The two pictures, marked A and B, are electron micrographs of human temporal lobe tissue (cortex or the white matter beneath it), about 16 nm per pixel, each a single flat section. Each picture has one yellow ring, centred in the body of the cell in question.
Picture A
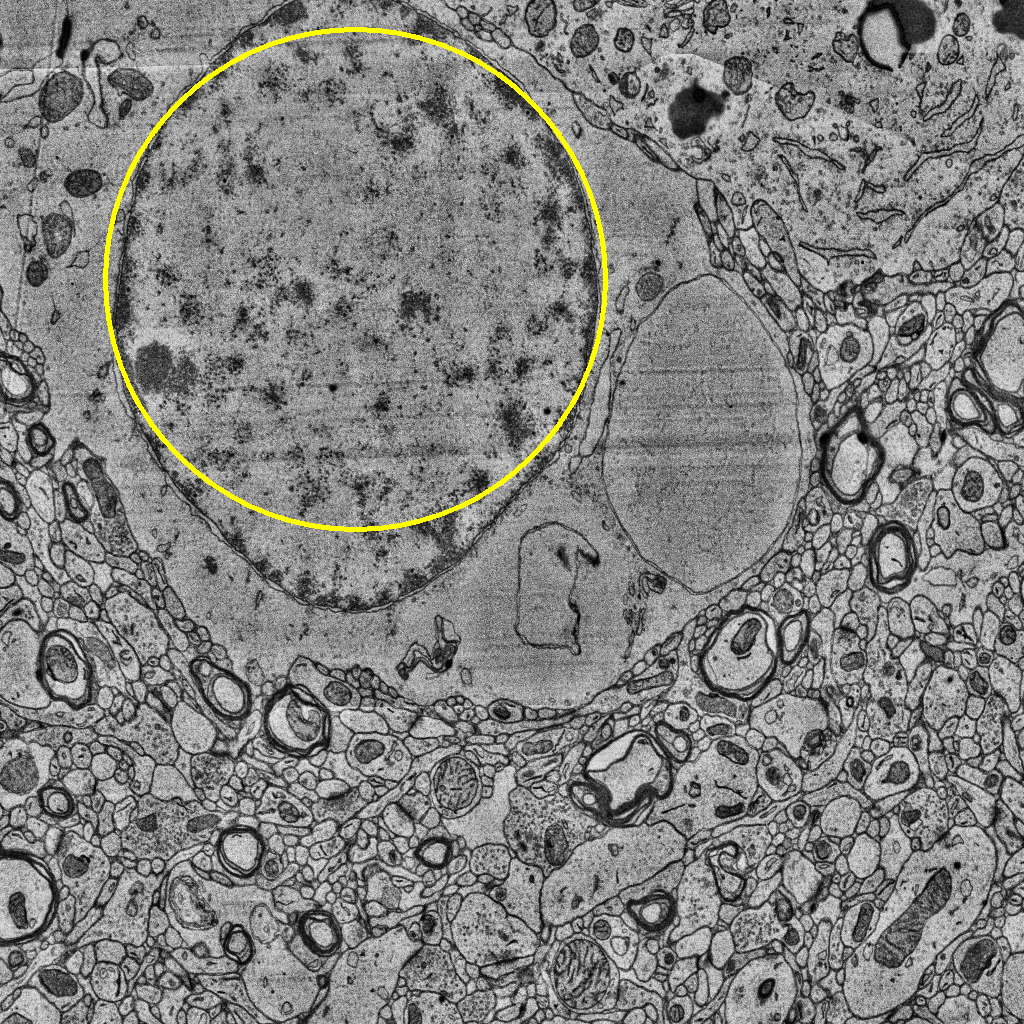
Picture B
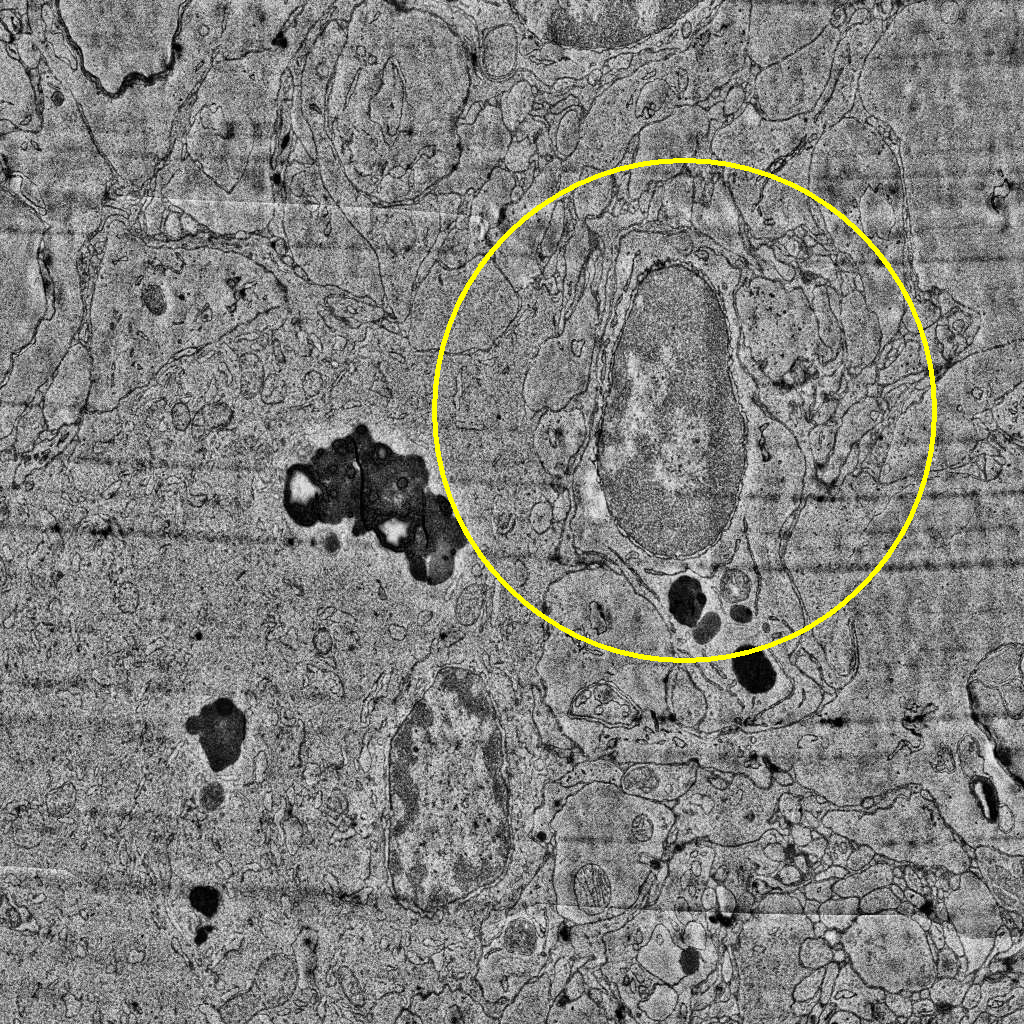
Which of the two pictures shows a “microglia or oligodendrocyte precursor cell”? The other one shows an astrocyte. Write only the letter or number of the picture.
B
